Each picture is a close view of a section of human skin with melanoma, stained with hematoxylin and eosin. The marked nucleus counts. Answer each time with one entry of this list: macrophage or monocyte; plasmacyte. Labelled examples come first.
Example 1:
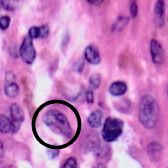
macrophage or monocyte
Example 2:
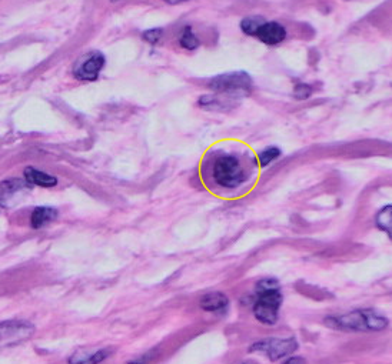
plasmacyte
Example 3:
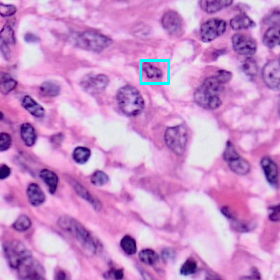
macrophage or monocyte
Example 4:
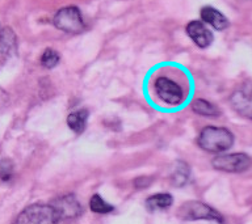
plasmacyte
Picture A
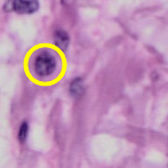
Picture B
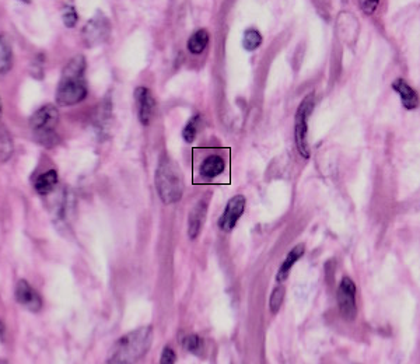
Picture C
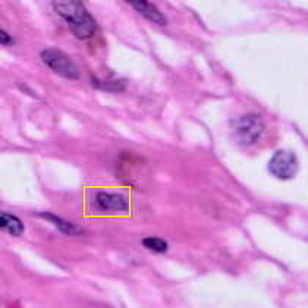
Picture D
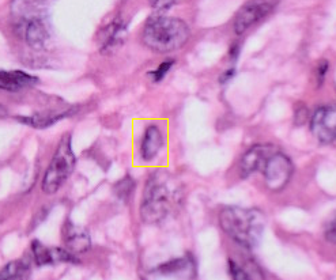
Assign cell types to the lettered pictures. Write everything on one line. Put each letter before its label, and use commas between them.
A plasmacyte, B plasmacyte, C macrophage or monocyte, D macrophage or monocyte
